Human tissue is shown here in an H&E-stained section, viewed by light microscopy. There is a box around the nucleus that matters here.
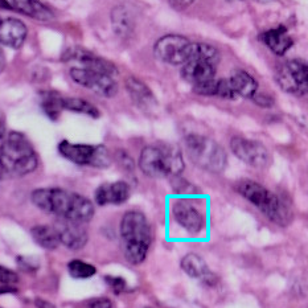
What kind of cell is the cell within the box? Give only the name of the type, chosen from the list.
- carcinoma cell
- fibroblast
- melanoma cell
melanoma cell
